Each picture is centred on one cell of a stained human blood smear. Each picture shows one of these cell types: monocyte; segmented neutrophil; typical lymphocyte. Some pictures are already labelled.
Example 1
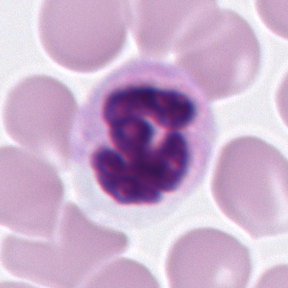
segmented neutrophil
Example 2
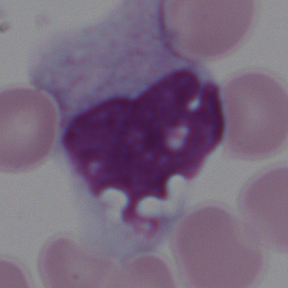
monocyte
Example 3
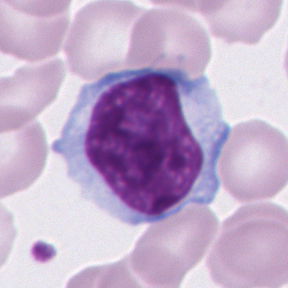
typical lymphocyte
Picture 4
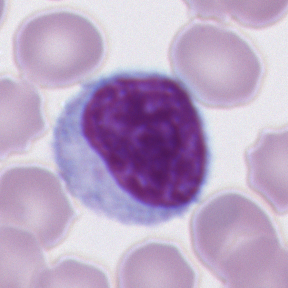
typical lymphocyte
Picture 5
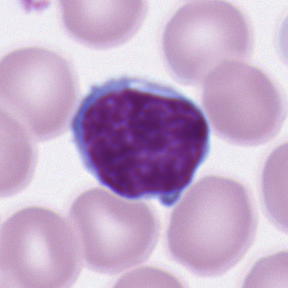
typical lymphocyte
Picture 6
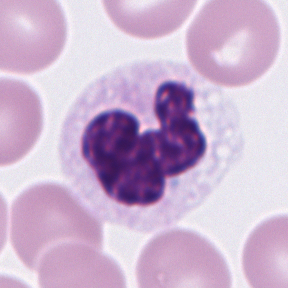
segmented neutrophil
